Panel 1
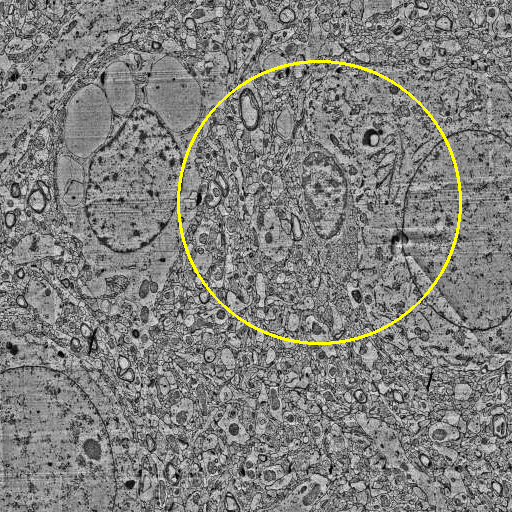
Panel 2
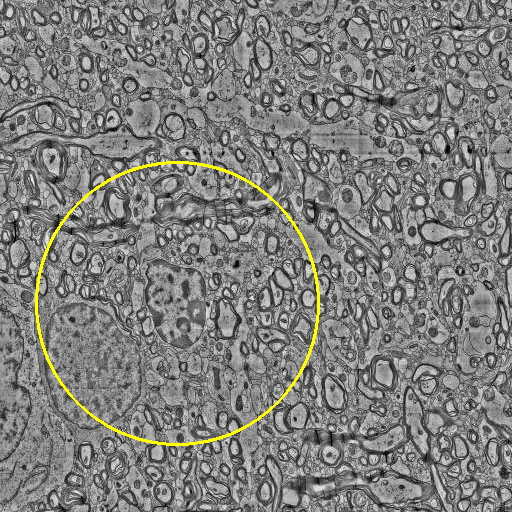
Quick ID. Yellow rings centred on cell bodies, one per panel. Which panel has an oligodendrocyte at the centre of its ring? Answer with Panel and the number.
Panel 1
